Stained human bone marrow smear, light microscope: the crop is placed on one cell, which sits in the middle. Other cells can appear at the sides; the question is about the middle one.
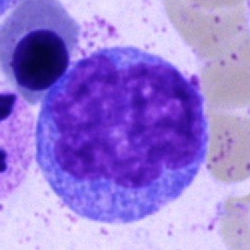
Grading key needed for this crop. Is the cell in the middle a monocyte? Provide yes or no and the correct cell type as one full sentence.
Yes, the central cell of this crop corresponds to a monocyte.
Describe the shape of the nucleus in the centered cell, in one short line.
See how the nucleus sits as one compact round, oval or kidney-shaped mass.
